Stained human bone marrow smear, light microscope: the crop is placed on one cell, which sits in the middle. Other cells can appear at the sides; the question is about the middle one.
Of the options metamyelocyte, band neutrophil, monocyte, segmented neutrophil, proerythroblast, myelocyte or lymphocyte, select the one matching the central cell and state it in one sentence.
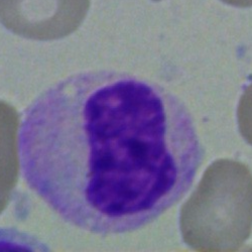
The centrally placed cell is classified as a metamyelocyte.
